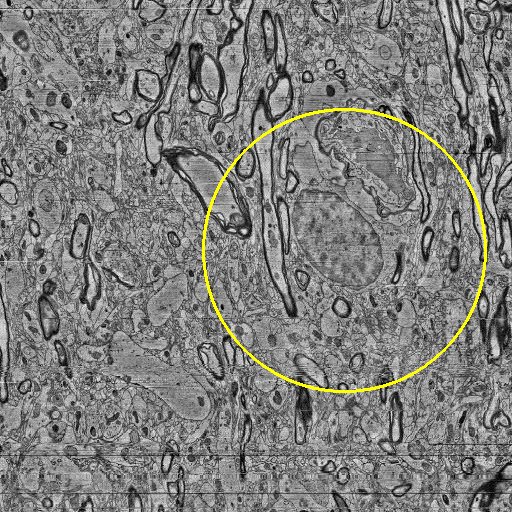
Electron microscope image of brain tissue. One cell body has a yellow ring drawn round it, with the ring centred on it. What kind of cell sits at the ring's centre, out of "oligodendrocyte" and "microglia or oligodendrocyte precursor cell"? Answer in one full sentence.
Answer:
It is an oligodendrocyte whose cell body sits at the centre of the yellow ring.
